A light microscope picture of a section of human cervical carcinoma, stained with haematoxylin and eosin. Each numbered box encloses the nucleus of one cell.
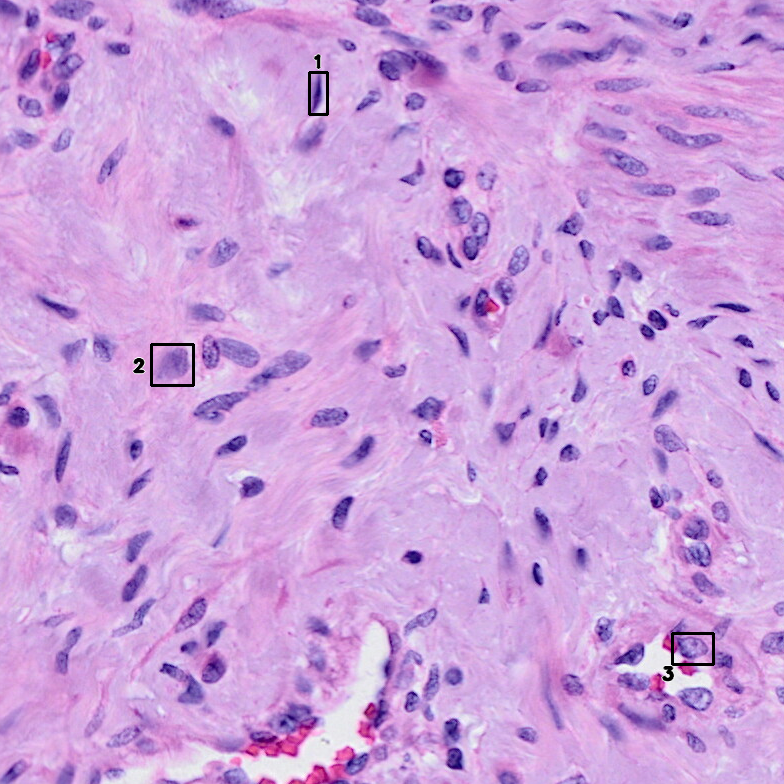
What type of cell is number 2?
fibroblast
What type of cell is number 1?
fibroblast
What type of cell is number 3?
endothelial cell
